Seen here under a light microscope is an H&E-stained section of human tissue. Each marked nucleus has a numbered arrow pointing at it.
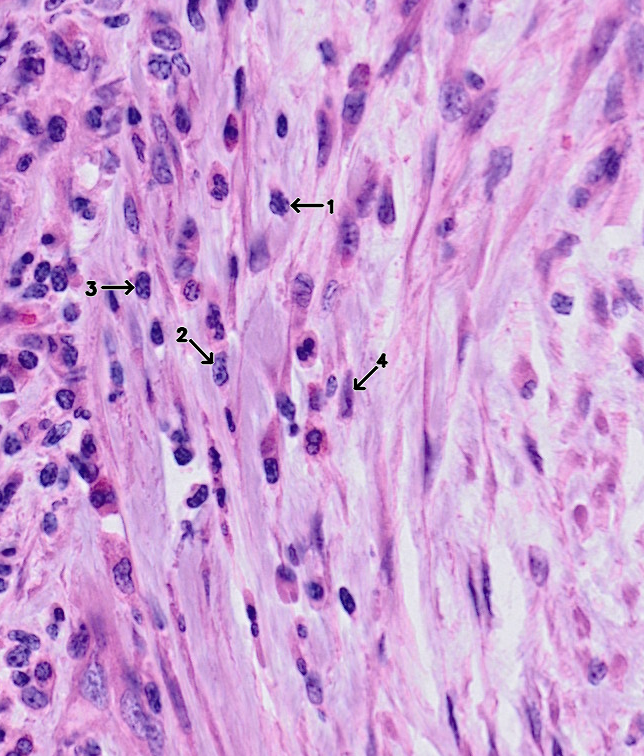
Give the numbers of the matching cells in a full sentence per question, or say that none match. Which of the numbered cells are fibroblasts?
Only number 4 is a fibroblast; none of the others are.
